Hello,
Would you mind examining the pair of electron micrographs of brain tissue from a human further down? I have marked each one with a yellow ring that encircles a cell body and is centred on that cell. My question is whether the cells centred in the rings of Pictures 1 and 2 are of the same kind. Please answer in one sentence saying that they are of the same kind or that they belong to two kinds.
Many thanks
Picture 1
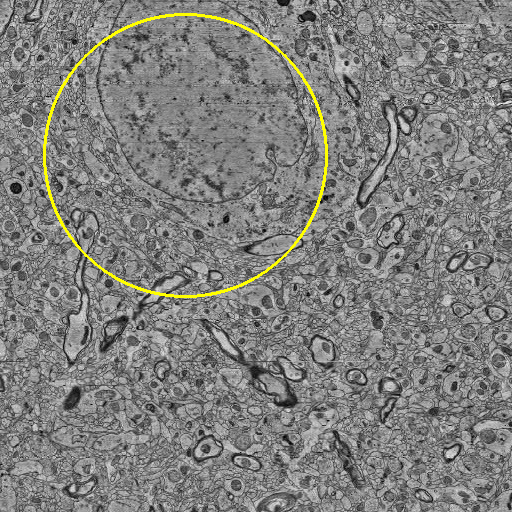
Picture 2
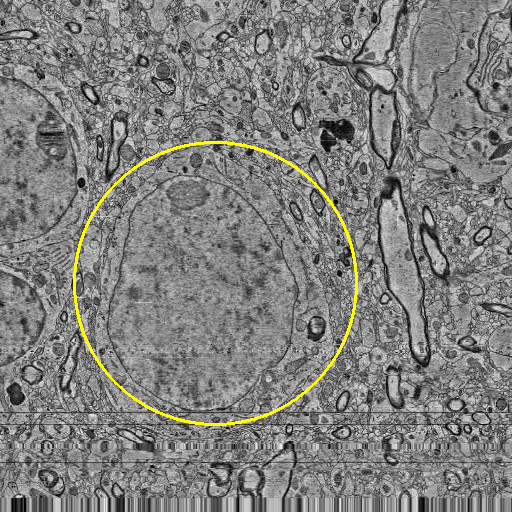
In Pictures 1 and 2, the cells at the heart of the rings are of the same kind.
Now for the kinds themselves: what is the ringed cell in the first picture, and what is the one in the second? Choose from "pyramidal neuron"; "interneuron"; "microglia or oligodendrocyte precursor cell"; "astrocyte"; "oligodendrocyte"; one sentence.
In the first picture and in the second, the ring is centred on a pyramidal neuron.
